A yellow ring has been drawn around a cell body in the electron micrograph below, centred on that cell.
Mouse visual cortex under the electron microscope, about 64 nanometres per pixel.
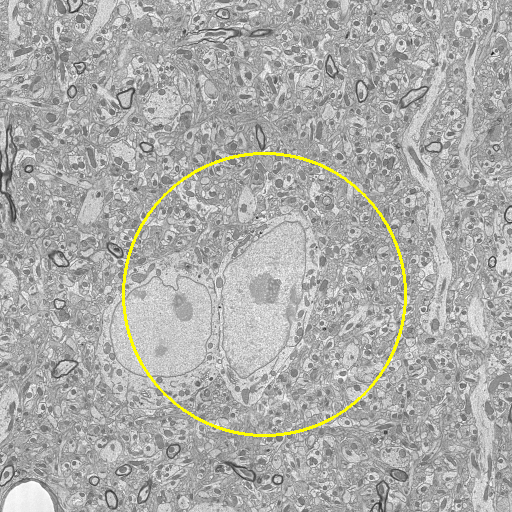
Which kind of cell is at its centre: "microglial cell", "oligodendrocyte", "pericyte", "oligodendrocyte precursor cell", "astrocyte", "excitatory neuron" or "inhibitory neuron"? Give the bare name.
inhibitory neuron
